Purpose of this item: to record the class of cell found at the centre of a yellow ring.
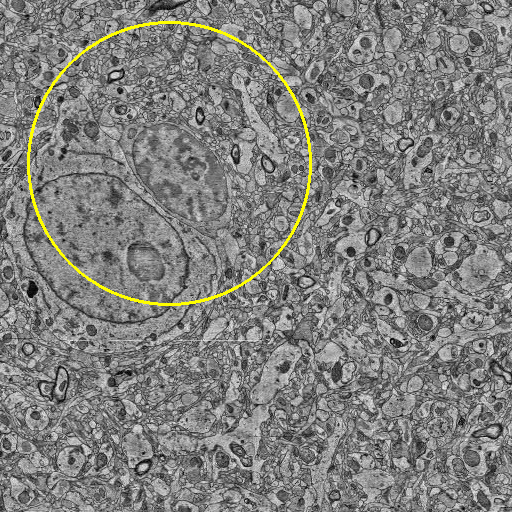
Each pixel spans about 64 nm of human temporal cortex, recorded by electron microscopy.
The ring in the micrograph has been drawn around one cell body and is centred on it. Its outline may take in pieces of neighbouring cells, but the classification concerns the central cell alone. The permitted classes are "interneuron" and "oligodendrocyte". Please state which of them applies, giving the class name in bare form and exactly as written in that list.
oligodendrocyte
